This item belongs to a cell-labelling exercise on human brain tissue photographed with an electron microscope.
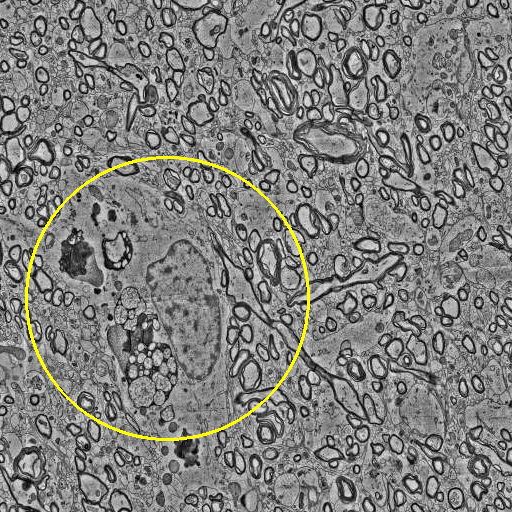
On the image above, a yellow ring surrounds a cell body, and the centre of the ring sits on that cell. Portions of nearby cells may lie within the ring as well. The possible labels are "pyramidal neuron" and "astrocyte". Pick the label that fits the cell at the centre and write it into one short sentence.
This cell should be labelled as an astrocyte.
